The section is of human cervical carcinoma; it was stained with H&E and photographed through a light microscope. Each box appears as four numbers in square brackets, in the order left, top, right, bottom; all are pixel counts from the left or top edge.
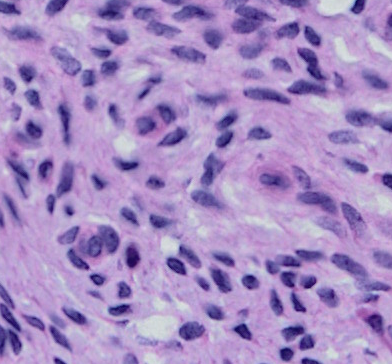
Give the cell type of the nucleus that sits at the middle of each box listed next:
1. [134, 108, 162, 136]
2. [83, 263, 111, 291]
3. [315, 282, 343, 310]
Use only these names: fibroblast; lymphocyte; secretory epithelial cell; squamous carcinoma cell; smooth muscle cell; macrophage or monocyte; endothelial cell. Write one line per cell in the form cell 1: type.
cell 1: endothelial cell
cell 2: fibroblast
cell 3: fibroblast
